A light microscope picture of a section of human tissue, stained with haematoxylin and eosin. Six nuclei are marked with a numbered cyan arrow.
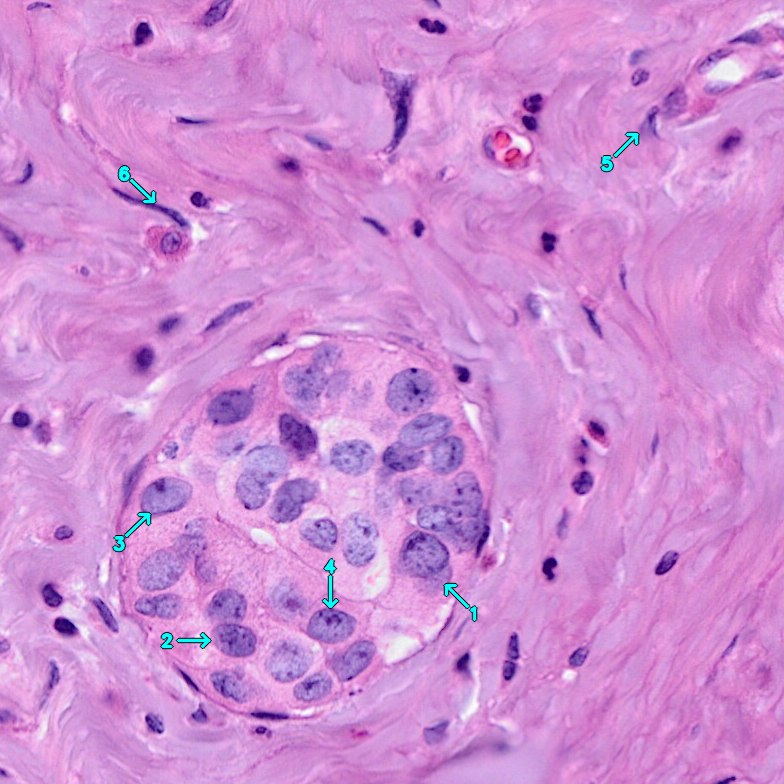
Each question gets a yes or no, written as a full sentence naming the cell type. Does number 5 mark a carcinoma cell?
No, the one with number 5 is a fibroblast, not a carcinoma cell.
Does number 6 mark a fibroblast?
Yes, the one with the number 6 is a fibroblast.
